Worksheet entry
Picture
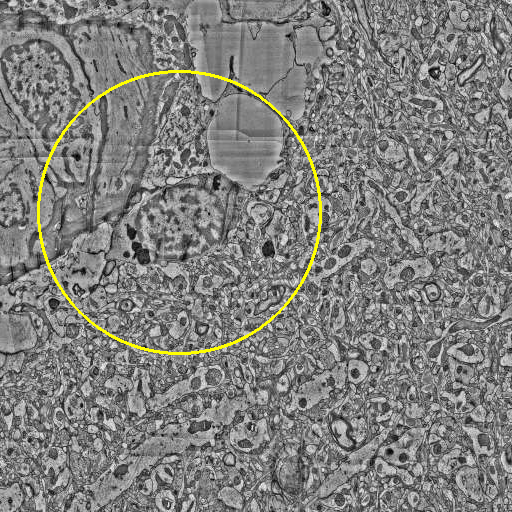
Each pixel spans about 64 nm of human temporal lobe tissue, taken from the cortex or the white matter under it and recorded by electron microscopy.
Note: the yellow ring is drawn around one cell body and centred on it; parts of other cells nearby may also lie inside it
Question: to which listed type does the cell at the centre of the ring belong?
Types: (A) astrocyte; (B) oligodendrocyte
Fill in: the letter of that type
B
